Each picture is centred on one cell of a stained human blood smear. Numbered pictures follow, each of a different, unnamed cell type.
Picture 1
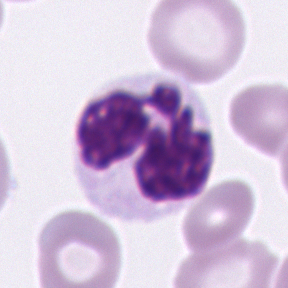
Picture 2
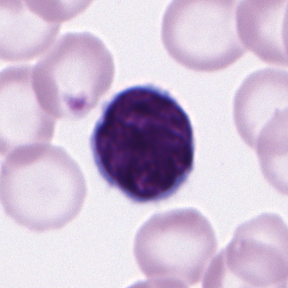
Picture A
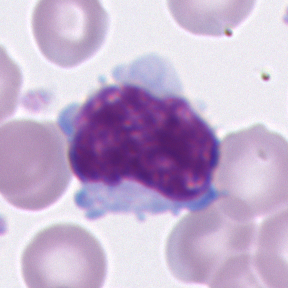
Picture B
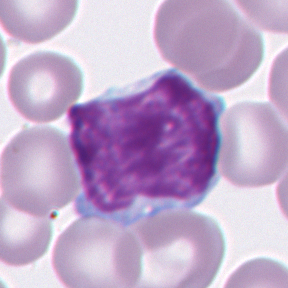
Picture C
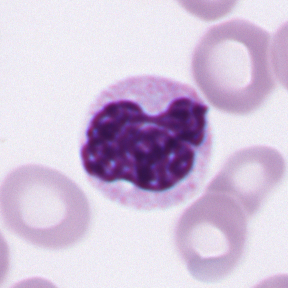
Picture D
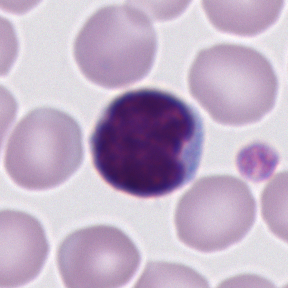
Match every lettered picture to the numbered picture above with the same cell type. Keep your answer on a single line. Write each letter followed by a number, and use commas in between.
A 2, B 2, C 1, D 2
